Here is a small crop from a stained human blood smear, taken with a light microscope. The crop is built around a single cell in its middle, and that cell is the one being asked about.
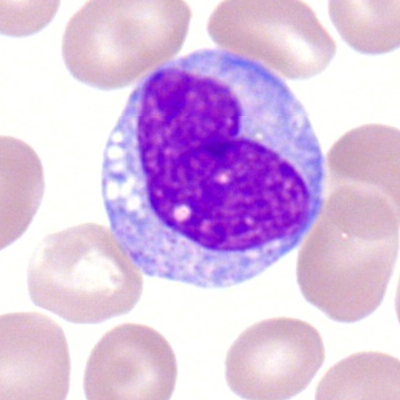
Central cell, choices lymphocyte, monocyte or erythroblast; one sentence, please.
Standing at the centre of this crop is a monocyte.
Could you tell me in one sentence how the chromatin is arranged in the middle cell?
In this cell the chromatin is fine rather than coarsely clumped.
